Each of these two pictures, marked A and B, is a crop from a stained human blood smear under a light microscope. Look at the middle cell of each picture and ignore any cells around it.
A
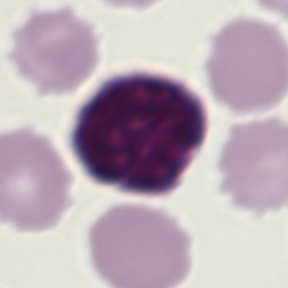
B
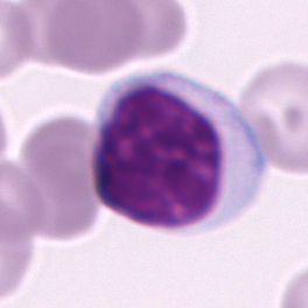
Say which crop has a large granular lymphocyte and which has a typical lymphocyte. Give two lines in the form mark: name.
A: typical lymphocyte
B: large granular lymphocyte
